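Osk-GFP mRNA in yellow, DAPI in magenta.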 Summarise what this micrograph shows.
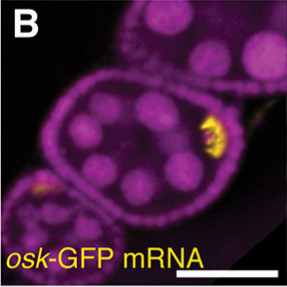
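This is an early egg chamber, seen in optical section. A single ring of small, closely packed magenta nuclei marks the follicle cells that wrap the chamber. Inside lie several large germ cells with big round nuclei, the nurse cells. At one end a small patch of yellow marks the early oocyte.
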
